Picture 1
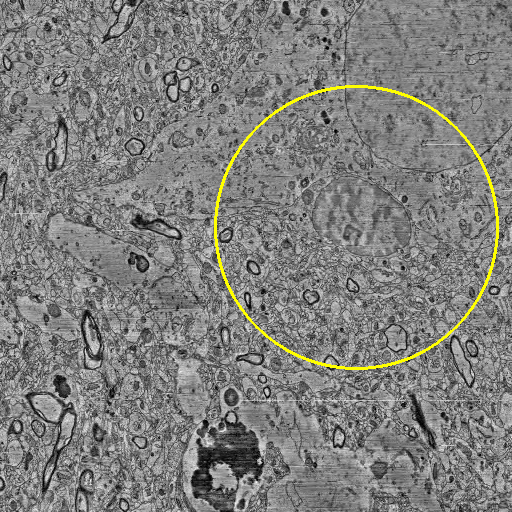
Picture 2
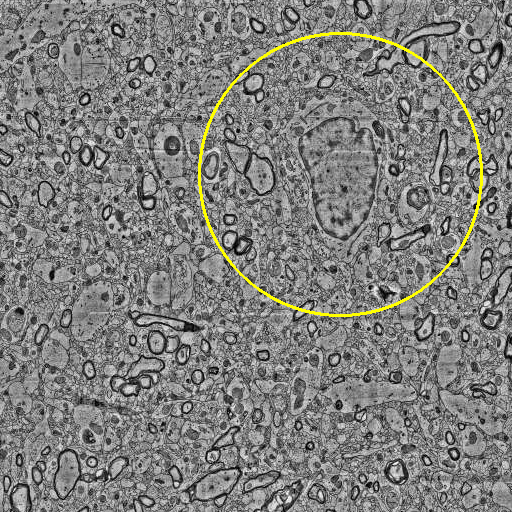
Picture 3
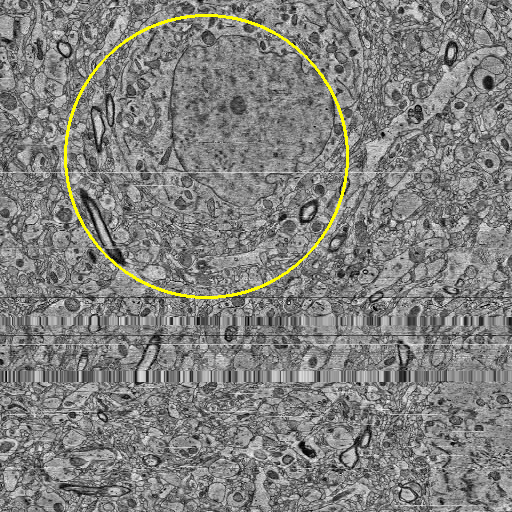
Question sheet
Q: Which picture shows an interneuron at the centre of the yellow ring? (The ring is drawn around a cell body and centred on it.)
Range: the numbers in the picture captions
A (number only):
3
